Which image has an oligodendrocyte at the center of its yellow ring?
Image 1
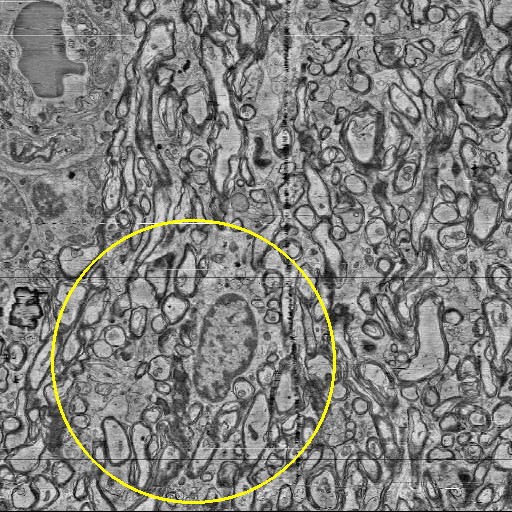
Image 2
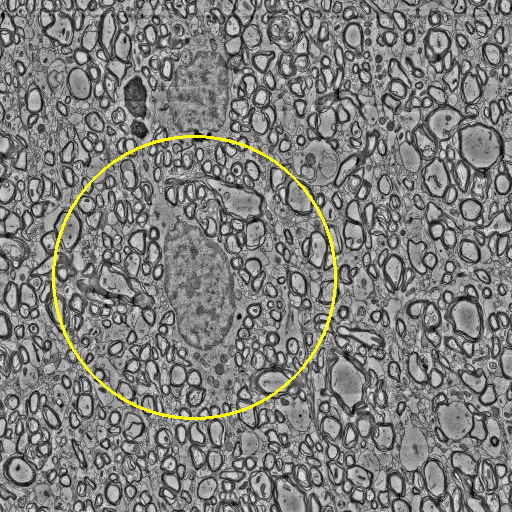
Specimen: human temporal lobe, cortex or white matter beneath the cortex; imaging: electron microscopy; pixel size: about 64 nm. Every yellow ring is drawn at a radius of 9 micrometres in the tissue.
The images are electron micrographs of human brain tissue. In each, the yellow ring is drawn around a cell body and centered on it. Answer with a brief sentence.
It is at the center of the ring in Image 2.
